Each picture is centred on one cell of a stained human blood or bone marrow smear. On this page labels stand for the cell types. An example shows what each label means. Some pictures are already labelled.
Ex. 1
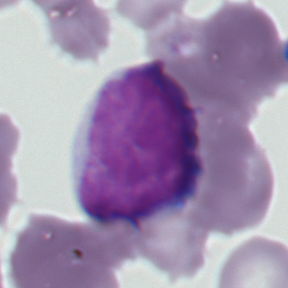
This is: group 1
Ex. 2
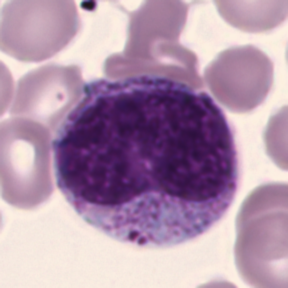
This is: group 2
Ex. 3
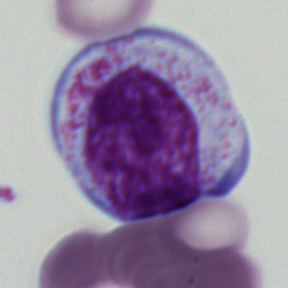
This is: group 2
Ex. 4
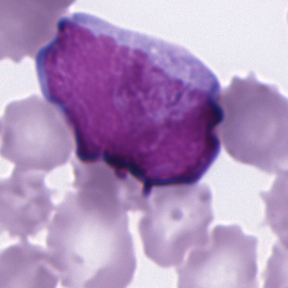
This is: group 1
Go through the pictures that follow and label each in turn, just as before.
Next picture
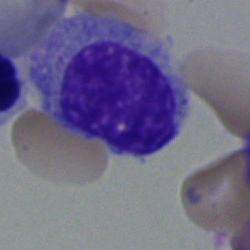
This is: group 2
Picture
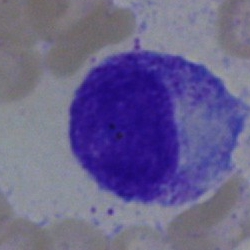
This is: group 2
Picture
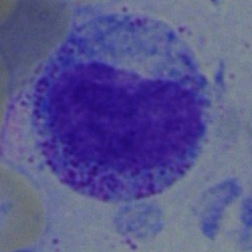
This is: group 2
